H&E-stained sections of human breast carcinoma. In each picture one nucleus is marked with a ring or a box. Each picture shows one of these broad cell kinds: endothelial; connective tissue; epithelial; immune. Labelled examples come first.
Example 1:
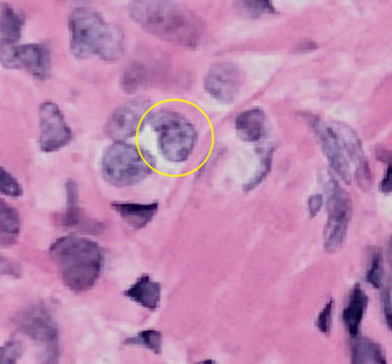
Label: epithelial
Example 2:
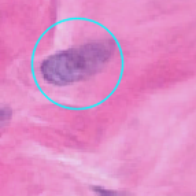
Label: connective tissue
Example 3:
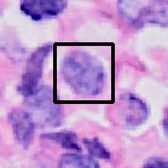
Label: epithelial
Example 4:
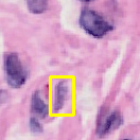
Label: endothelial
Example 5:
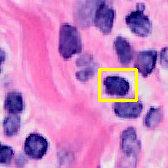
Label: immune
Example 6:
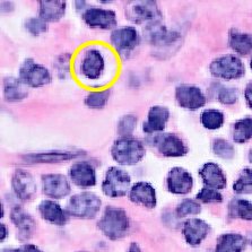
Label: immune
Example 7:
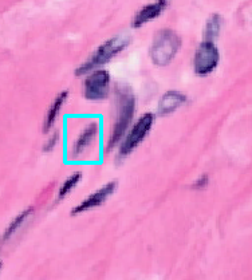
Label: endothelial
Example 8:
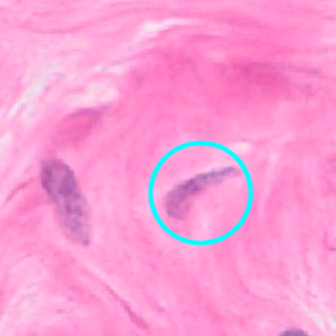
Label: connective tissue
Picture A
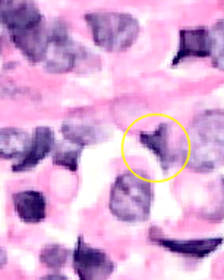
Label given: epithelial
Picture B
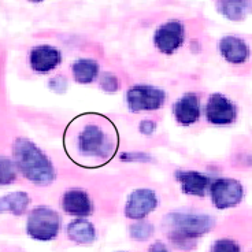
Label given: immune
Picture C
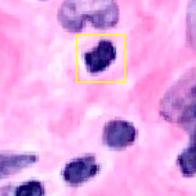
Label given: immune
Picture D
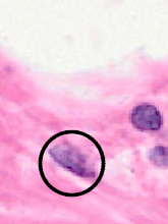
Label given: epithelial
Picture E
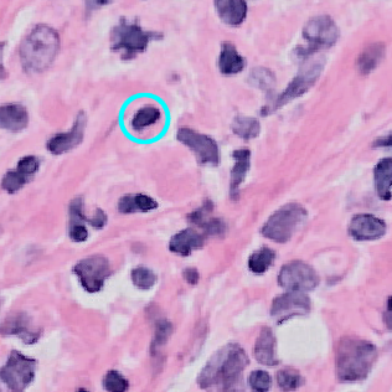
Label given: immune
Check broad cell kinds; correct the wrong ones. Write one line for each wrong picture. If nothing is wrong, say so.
D should be connective tissue, not epithelial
